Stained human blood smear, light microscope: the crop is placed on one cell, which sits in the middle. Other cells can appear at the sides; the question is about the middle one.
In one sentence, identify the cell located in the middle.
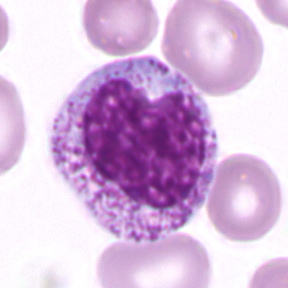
Here the cell in the middle is a myelocyte.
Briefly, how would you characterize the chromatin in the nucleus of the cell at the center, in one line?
The chromatin in this nucleus is coarsely clumped.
